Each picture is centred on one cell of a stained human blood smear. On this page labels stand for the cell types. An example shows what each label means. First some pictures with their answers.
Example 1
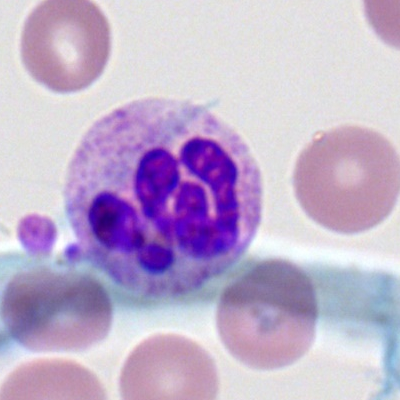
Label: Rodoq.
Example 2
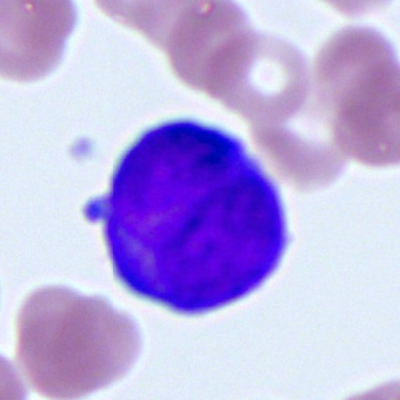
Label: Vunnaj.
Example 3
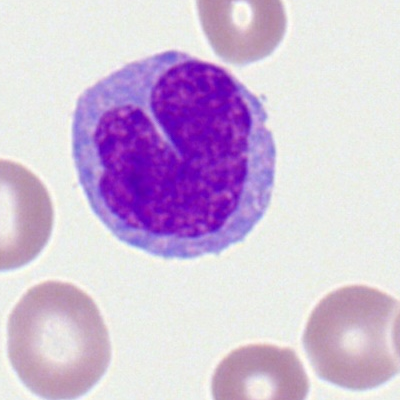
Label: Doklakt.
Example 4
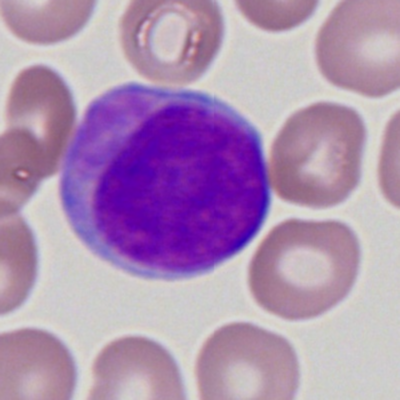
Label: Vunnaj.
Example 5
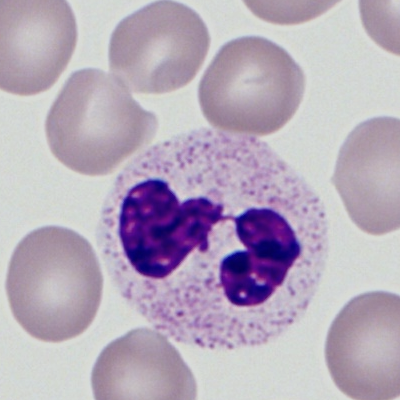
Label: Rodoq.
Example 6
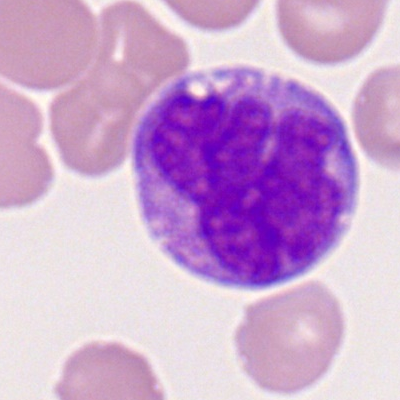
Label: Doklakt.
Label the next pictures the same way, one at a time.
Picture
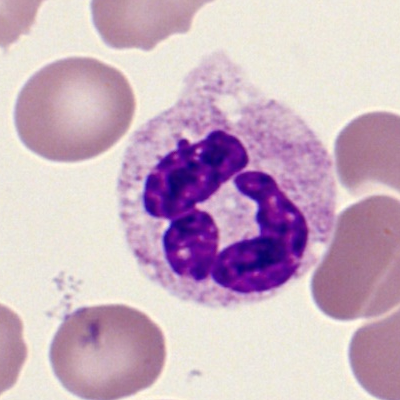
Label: Rodoq.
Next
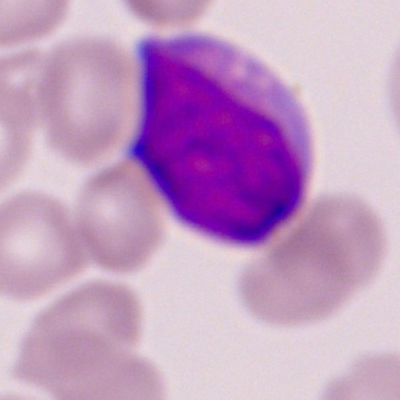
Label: Vunnaj.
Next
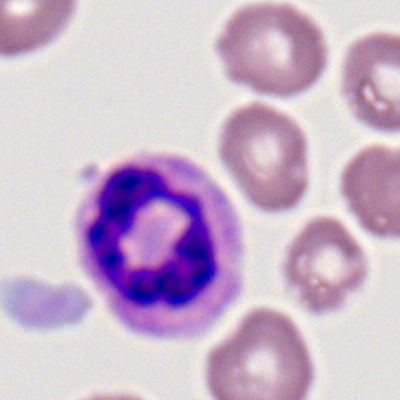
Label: Rodoq.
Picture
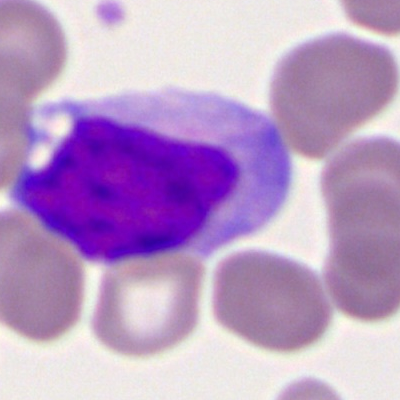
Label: Vunnaj.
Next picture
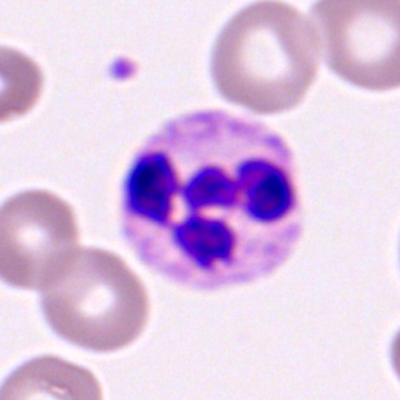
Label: Rodoq.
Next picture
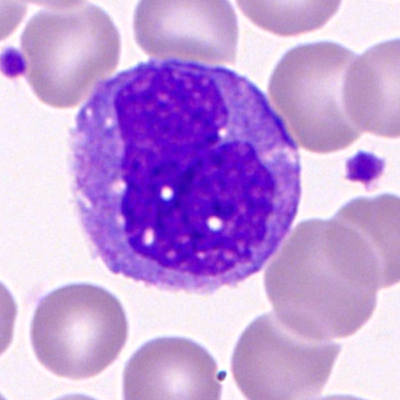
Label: Doklakt.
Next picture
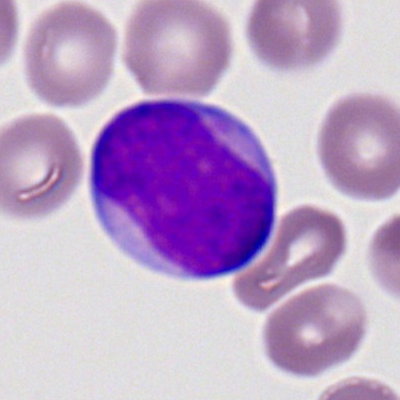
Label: Vunnaj.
